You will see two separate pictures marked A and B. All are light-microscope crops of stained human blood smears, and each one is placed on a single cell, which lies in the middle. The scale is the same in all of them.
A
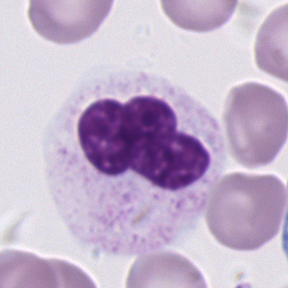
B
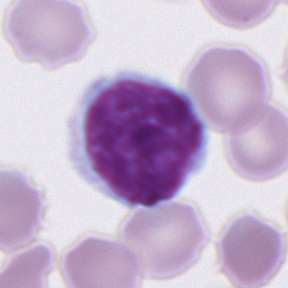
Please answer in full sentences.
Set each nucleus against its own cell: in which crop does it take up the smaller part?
Of the two, the nucleus in crop A leaves more room for cytoplasm.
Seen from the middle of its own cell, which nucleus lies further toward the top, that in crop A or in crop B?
The nucleus in crop A lies further toward the top of its cell.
